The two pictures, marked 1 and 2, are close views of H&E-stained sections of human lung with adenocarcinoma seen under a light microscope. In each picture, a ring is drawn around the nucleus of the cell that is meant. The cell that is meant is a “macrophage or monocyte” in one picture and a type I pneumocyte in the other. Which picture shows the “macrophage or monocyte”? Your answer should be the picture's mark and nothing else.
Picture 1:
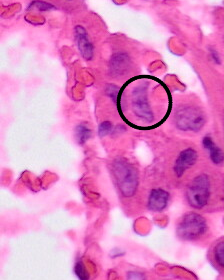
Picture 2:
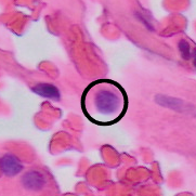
1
